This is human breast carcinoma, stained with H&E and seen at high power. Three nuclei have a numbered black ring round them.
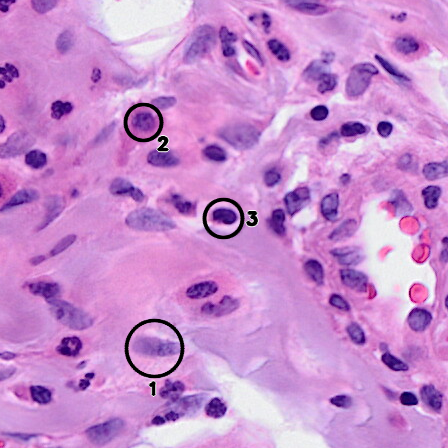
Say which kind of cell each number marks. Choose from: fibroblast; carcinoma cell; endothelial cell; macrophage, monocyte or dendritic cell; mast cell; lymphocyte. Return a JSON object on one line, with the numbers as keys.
{"1": "fibroblast", "2": "mast cell", "3": "lymphocyte"}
